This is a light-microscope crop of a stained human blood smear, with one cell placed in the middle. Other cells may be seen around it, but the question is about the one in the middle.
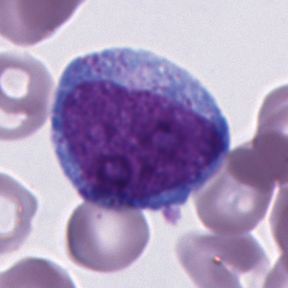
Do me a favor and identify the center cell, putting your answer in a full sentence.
The middle of this crop holds a promyelocyte.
